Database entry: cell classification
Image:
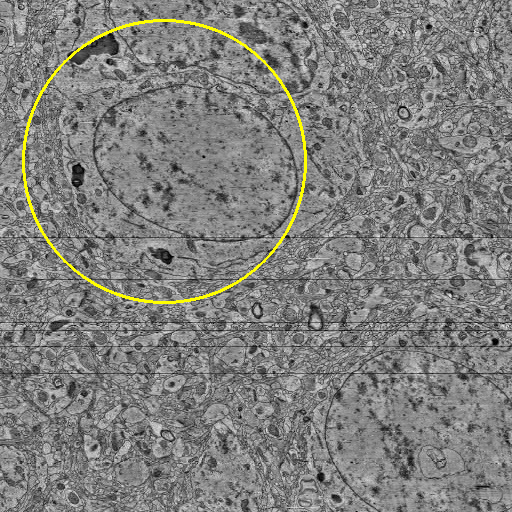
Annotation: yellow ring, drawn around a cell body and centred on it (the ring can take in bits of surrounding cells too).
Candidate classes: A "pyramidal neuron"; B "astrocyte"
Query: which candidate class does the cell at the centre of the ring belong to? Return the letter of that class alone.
A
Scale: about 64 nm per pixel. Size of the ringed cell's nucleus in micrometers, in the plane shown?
In this plane, the nucleus is roughly 14 by 10 micrometres.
